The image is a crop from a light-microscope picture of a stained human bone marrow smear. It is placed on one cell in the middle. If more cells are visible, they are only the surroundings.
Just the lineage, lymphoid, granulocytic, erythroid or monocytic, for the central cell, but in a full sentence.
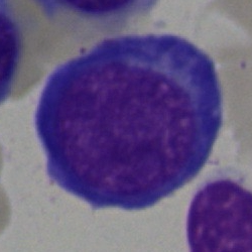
The cell sitting in the middle of this crop is of the erythroid line.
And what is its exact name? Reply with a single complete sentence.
The target cell in the middle of the crop is a proerythroblast.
